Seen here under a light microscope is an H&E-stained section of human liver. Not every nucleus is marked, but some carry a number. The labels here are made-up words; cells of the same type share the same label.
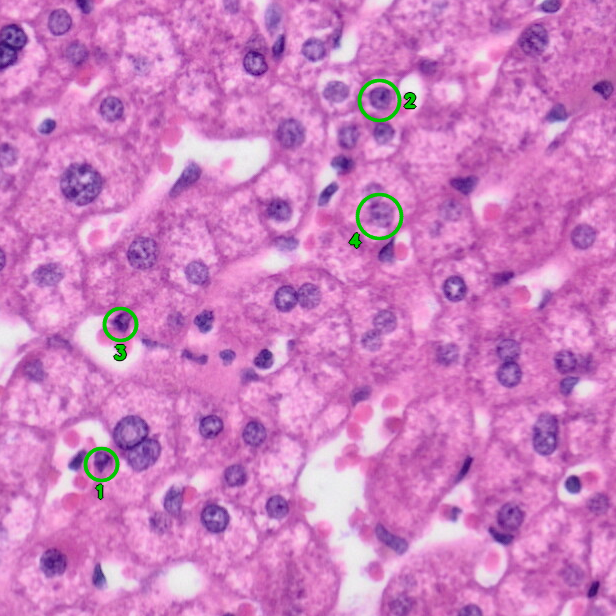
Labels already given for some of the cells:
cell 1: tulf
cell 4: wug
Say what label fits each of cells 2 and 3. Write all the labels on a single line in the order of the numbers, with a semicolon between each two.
wug; tulf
